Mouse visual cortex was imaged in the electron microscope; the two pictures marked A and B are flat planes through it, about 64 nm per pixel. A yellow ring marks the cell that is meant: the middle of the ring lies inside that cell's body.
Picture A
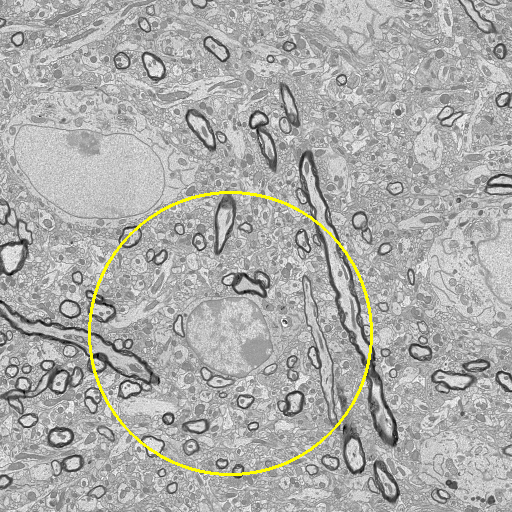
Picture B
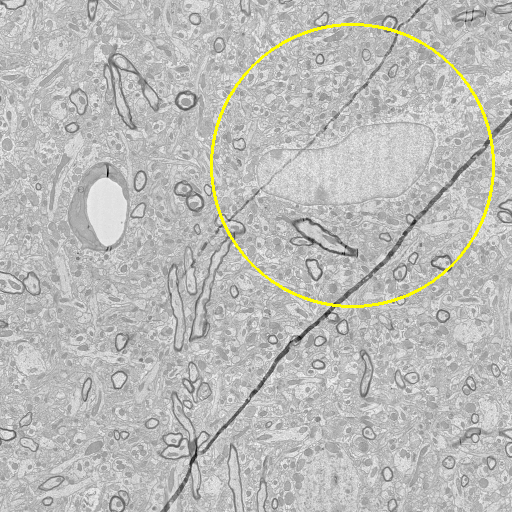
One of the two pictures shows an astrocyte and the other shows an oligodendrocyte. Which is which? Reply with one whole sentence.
The cell in picture A is an oligodendrocyte, and the one in picture B is an astrocyte.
